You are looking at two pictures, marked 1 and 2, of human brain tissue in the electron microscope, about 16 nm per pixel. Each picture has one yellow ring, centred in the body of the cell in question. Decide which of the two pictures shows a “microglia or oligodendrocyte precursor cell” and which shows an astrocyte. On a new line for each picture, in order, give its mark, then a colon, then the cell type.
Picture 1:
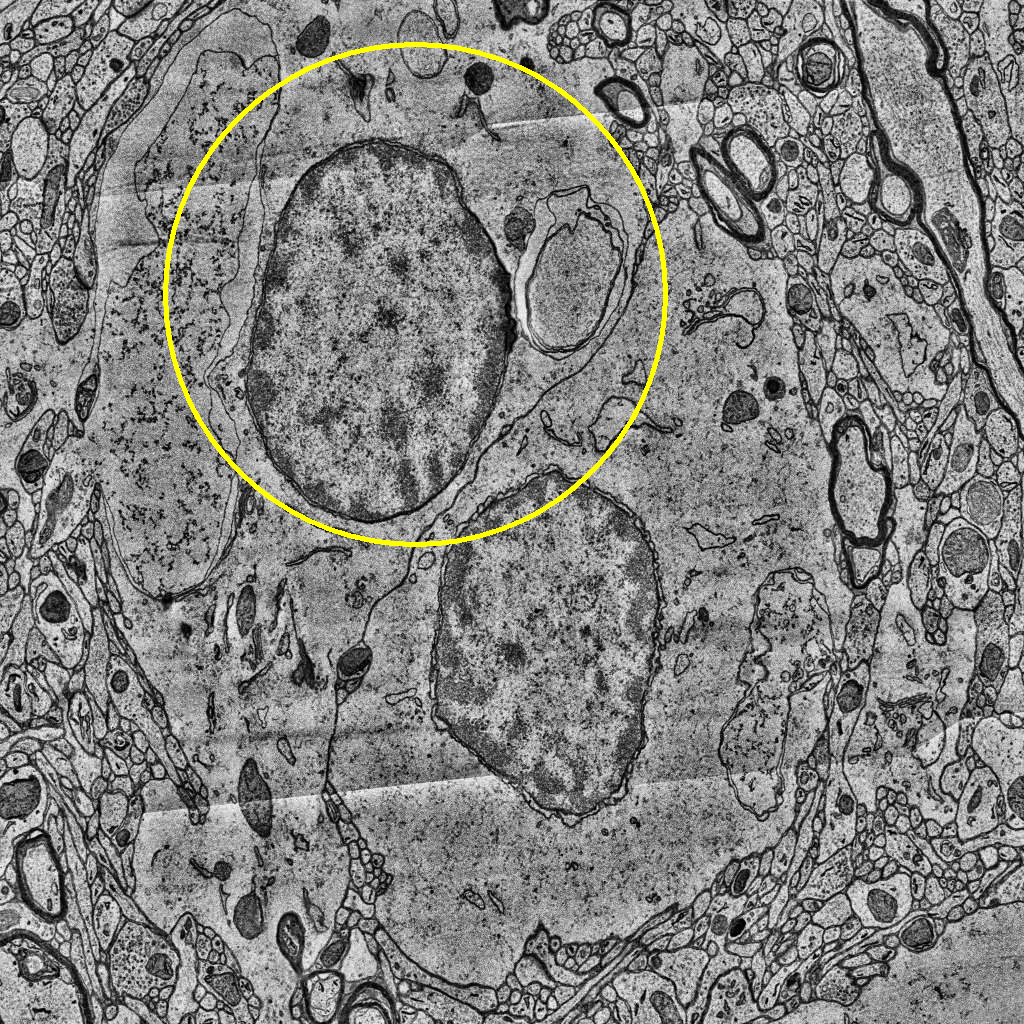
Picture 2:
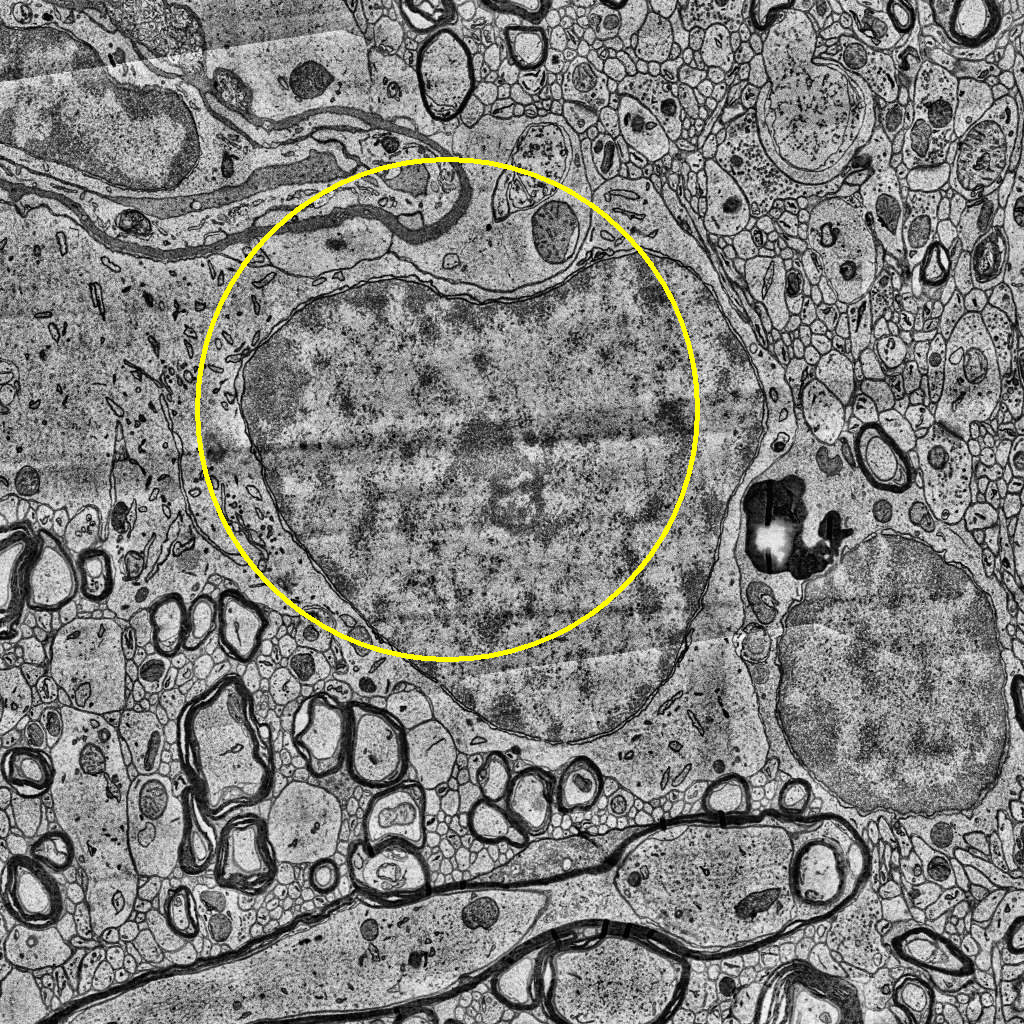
1: astrocyte
2: microglia or oligodendrocyte precursor cell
